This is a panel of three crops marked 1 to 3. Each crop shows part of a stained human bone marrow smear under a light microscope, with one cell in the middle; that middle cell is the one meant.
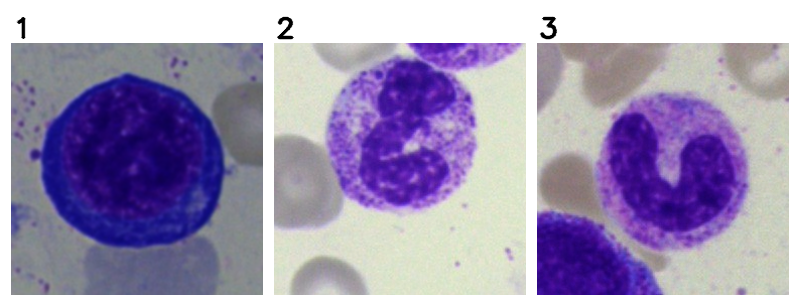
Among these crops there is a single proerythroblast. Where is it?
1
